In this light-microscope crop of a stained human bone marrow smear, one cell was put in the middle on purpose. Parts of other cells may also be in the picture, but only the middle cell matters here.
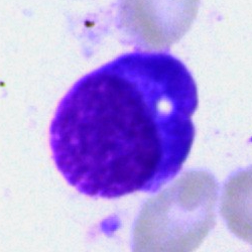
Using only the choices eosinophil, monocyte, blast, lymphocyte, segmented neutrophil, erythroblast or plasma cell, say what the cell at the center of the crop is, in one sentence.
Classified as a plasma cell is the cell in the middle of this crop.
